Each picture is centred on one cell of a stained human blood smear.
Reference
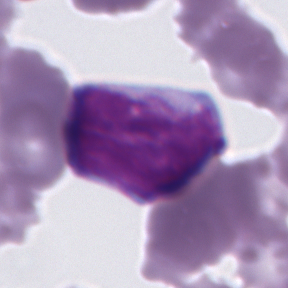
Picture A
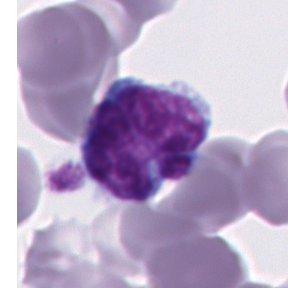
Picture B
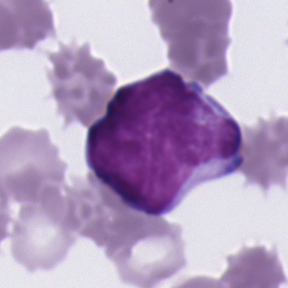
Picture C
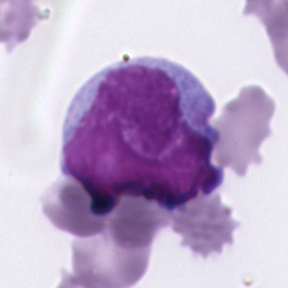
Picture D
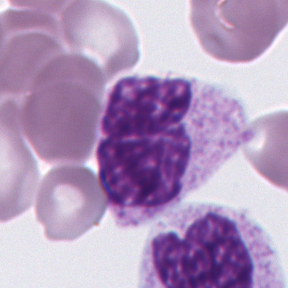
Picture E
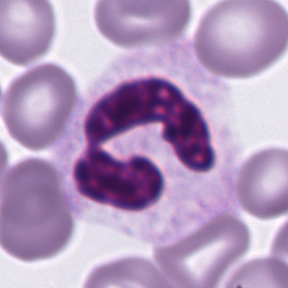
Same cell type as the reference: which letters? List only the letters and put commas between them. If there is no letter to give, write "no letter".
B, C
